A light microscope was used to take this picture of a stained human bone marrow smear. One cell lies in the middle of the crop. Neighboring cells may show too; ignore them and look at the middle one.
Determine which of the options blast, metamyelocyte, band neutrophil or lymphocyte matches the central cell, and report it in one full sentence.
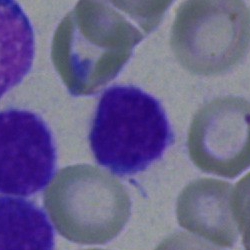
Where the crop is centred, there is a lymphocyte.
